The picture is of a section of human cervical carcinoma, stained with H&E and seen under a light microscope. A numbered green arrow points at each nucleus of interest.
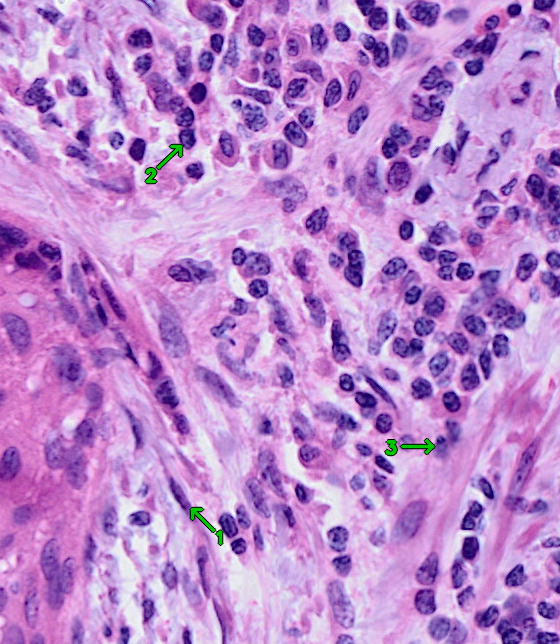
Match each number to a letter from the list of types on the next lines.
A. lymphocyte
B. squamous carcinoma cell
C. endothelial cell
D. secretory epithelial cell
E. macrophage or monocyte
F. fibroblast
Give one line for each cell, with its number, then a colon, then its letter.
1: F
2: A
3: A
